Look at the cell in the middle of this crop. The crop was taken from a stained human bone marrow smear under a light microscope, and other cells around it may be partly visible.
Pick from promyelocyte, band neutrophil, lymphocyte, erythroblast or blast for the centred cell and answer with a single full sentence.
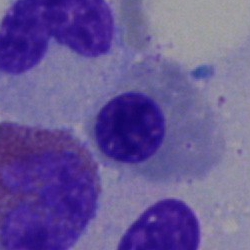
Where the crop is centred, there is an erythroblast.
